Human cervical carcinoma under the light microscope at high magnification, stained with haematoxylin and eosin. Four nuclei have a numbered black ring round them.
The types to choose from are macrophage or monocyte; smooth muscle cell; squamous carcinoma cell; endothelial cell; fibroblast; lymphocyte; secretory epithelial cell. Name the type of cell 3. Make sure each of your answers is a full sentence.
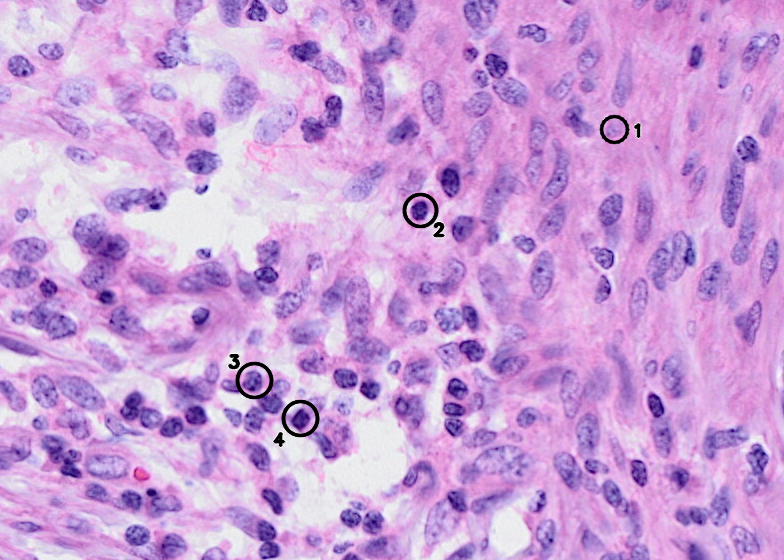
The mark numbered 3 indicates the nucleus of a lymphocyte.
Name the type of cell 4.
Heads up, the cell numbered 4 is a lymphocyte.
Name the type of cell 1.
The numbered cell 1 in this field is a smooth muscle cell.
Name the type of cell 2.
Cell 2 should be recorded as a lymphocyte.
